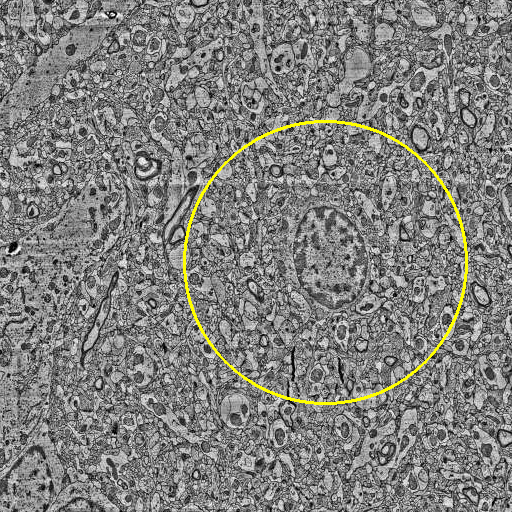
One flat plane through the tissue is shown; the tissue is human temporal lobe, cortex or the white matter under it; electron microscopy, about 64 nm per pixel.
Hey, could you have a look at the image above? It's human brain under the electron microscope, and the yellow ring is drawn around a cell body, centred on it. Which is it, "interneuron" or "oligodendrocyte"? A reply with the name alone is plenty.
oligodendrocyte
